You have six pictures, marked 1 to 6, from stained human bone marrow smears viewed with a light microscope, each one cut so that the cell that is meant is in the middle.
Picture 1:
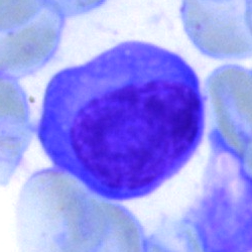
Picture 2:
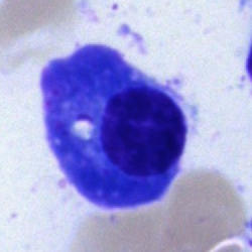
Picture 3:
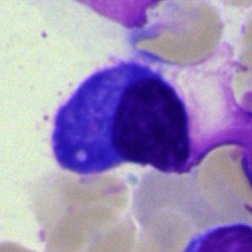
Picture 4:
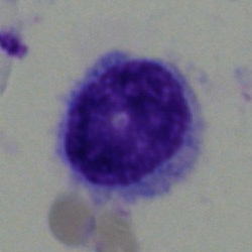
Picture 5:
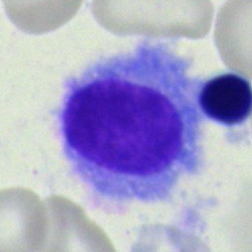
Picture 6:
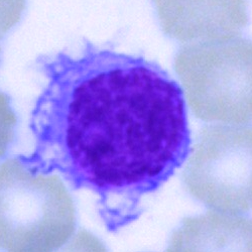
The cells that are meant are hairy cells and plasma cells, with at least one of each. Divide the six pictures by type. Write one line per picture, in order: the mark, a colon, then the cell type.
1: plasma cell
2: plasma cell
3: plasma cell
4: hairy cell
5: hairy cell
6: hairy cell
